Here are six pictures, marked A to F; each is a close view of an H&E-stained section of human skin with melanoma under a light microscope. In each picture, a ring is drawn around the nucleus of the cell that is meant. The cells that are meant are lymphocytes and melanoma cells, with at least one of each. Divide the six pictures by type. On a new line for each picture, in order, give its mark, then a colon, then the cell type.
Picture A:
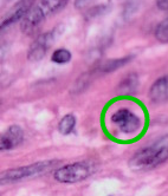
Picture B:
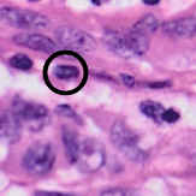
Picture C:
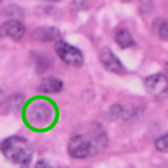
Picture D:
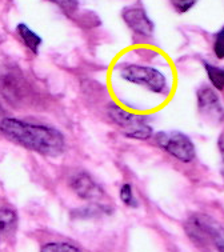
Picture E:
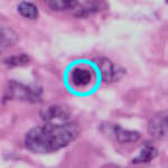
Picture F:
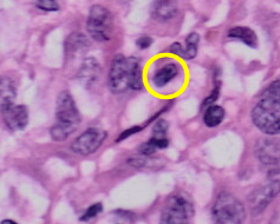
A: lymphocyte
B: lymphocyte
C: melanoma cell
D: melanoma cell
E: lymphocyte
F: lymphocyte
